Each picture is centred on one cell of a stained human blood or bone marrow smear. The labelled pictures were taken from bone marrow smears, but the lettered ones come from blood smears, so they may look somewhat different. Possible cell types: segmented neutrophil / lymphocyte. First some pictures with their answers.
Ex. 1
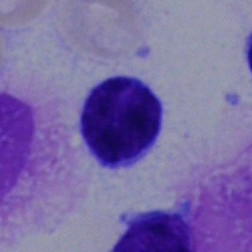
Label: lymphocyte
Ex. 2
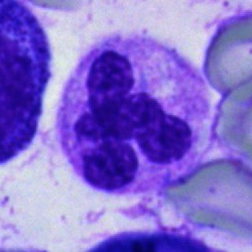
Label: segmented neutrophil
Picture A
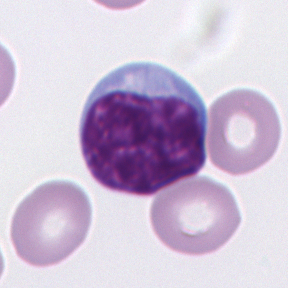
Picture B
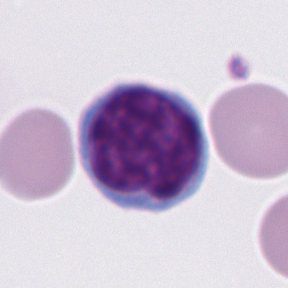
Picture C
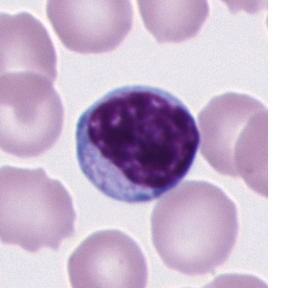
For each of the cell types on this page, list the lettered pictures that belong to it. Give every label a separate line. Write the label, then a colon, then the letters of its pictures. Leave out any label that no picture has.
lymphocyte: A, B, C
